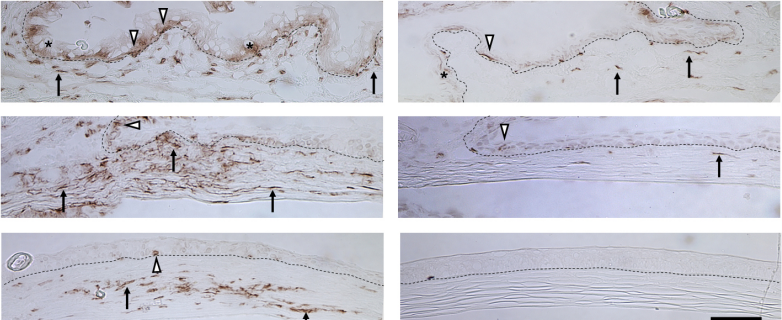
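A dotted line follows the boundary between the surface epithelium and the underlying stroma. Stained cells are irregular and branched, with slender processes, and many lie spread between the flat layers of the stroma. In the left column they are numerous in all three regions, crowding the stroma of the limbus and scattered through the corneal stroma. In the right column only a few stained cells are seen in the upper two rows, and the bottom row shows a clear, unstained cornea. In the top row, pale goblet cells sit within the folded epithelium.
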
